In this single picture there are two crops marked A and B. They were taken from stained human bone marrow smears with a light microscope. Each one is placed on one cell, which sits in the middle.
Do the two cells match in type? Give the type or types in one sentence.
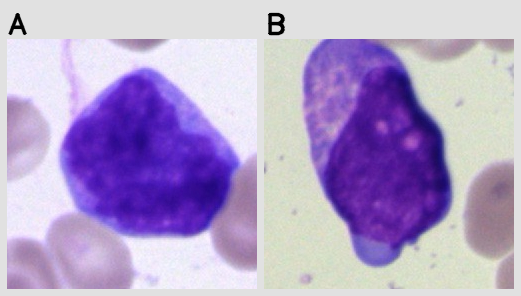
Yes, in both crops, blasts are the cells at the middle.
